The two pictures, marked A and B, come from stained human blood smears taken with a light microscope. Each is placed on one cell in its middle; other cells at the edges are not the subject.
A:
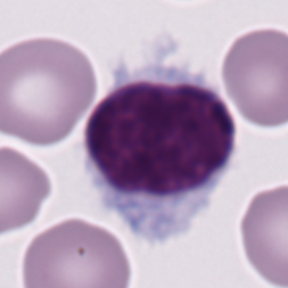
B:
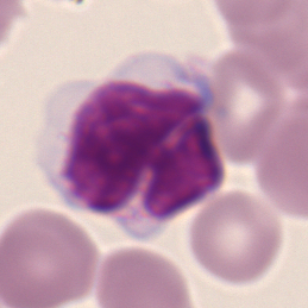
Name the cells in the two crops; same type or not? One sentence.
No, a large granular lymphocyte is the cell of crop B, while a hairy cell is the cell of crop A.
